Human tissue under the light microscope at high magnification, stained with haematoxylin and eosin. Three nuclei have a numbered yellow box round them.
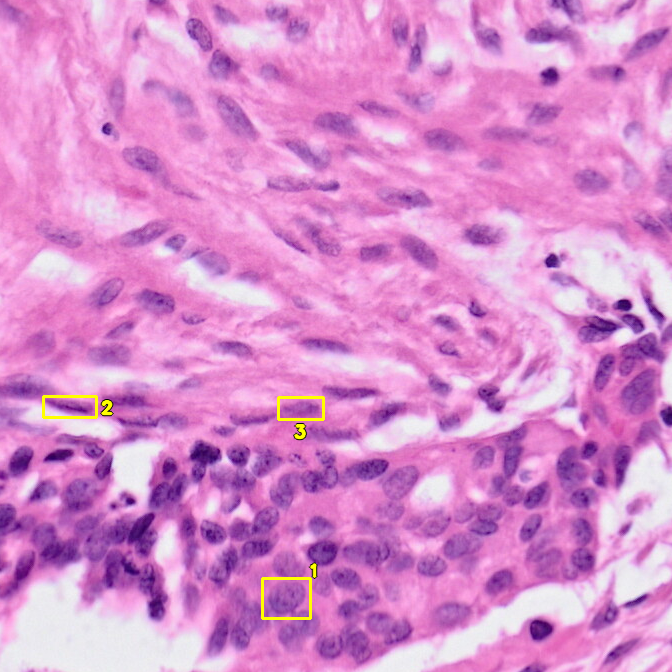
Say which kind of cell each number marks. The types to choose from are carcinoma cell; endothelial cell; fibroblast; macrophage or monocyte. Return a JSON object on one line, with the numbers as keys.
{"1": "carcinoma cell", "2": "fibroblast", "3": "fibroblast"}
